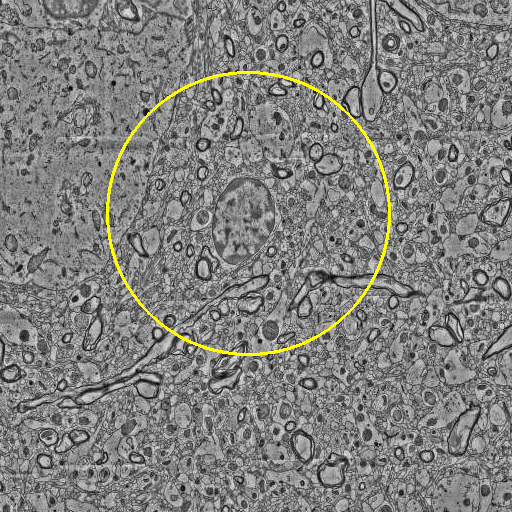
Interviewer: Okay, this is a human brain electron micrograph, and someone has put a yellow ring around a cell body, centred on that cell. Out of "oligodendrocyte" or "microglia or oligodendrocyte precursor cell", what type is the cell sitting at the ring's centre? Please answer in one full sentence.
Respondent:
The cell at the centre of the yellow ring in this picture is a microglial cell or oligodendrocyte precursor cell.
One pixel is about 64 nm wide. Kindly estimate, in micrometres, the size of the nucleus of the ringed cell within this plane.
In this plane the nucleus spans approximately 5 by 4 micrometers.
